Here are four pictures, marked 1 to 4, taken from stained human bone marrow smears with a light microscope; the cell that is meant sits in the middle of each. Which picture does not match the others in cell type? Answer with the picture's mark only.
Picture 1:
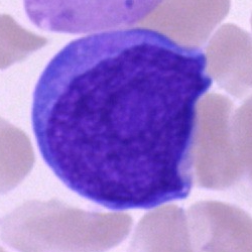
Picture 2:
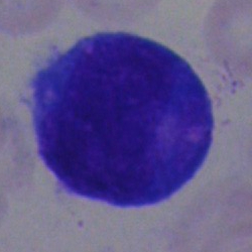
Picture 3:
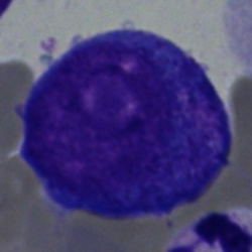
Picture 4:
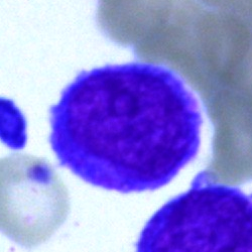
3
